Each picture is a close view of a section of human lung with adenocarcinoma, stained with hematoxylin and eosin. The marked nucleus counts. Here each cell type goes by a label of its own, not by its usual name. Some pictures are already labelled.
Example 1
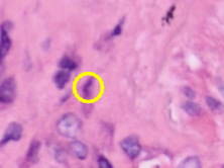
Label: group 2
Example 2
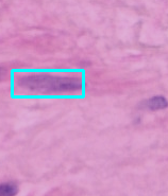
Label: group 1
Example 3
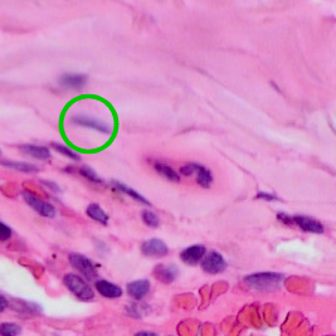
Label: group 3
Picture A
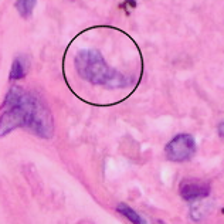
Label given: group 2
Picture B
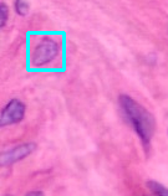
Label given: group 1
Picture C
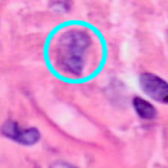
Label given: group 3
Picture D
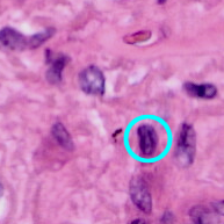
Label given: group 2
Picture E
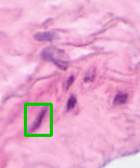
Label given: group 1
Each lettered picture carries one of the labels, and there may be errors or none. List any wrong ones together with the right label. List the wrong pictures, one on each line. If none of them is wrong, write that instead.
A: change group 2 to group 3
